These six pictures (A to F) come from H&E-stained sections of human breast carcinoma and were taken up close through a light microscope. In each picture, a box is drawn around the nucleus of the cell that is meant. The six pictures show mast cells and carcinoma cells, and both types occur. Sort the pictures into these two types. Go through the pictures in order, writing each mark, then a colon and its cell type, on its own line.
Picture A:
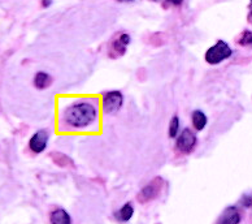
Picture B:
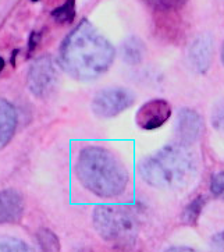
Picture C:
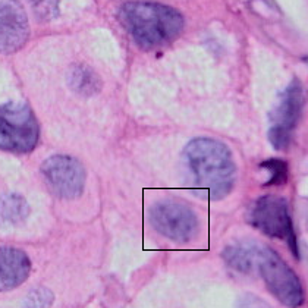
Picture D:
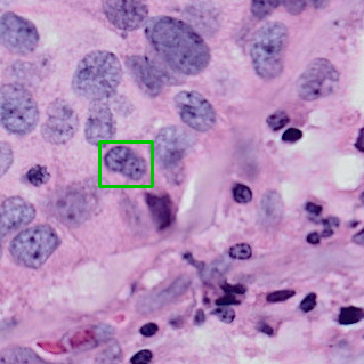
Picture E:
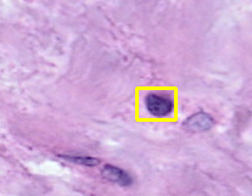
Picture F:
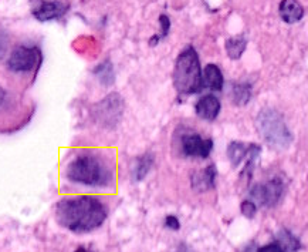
A: mast cell
B: carcinoma cell
C: carcinoma cell
D: carcinoma cell
E: mast cell
F: carcinoma cell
